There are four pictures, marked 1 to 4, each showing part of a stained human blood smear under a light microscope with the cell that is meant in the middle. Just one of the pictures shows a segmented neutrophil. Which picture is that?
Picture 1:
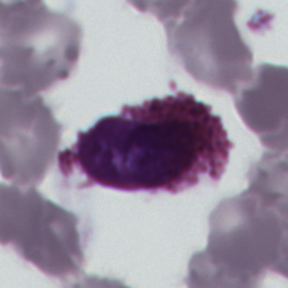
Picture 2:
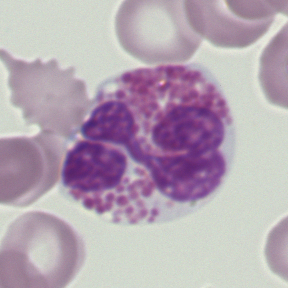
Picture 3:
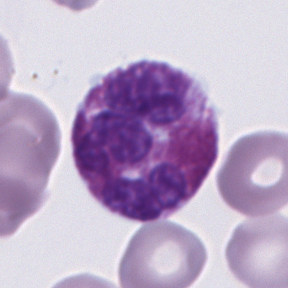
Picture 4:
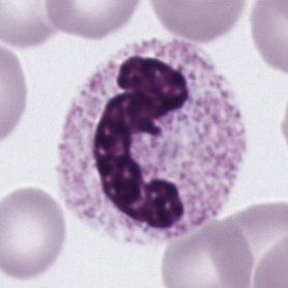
4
